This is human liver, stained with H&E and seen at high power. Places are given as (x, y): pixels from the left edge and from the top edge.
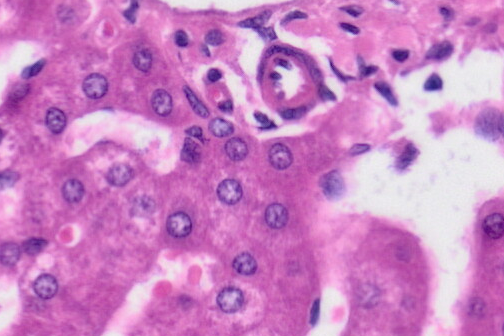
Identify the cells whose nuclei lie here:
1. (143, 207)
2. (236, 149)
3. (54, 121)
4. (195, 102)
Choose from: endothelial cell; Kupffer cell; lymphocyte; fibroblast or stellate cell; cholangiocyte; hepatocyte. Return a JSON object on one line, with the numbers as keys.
{"1": "hepatocyte", "2": "cholangiocyte", "3": "hepatocyte", "4": "cholangiocyte"}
